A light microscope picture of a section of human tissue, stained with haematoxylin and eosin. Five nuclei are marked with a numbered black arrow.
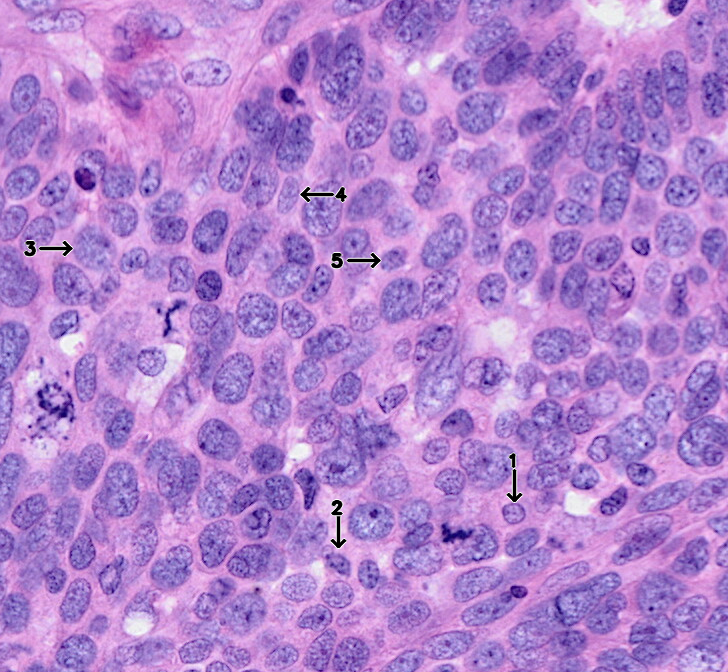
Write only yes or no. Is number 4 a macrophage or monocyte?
no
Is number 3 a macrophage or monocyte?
no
